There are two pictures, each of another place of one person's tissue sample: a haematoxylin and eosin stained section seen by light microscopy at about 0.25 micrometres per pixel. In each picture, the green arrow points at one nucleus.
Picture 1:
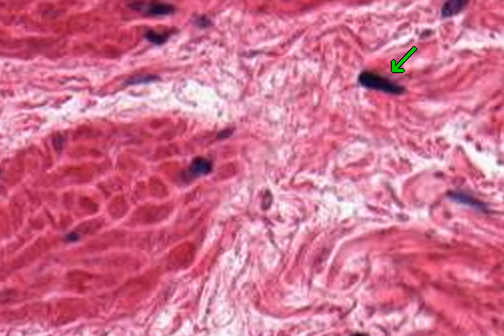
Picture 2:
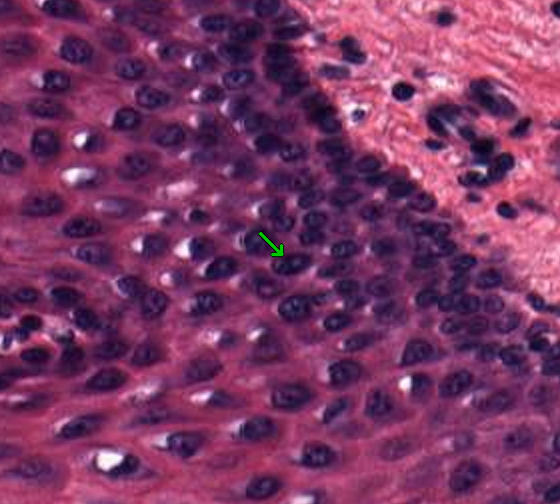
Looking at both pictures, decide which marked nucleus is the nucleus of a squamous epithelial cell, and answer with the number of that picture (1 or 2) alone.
2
